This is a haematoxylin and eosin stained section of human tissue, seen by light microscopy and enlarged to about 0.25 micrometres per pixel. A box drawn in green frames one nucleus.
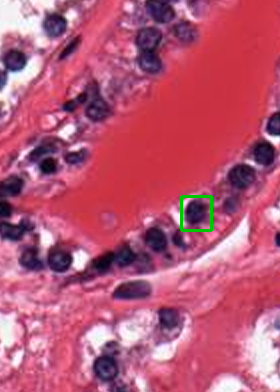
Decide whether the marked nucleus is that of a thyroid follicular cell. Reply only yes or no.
yes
